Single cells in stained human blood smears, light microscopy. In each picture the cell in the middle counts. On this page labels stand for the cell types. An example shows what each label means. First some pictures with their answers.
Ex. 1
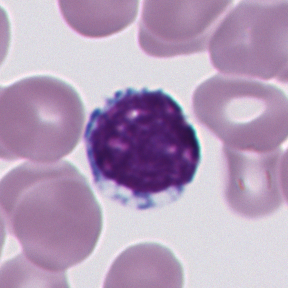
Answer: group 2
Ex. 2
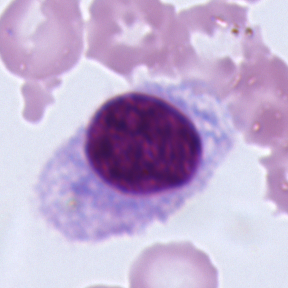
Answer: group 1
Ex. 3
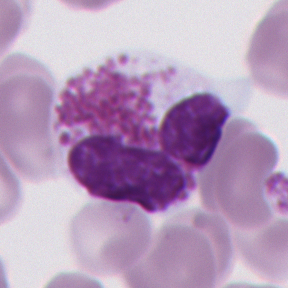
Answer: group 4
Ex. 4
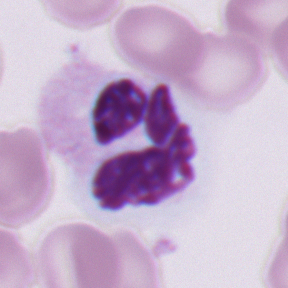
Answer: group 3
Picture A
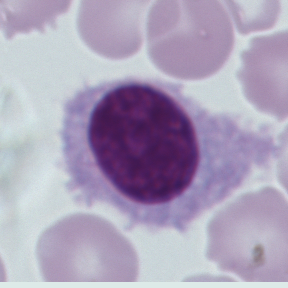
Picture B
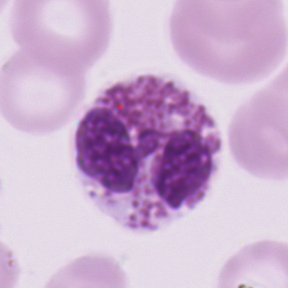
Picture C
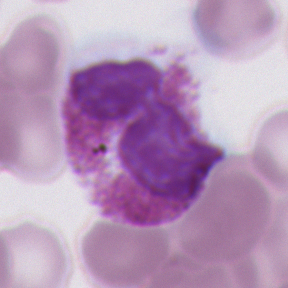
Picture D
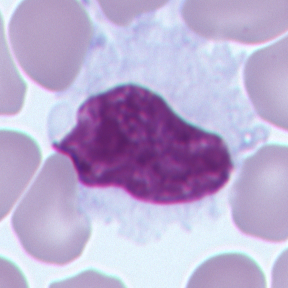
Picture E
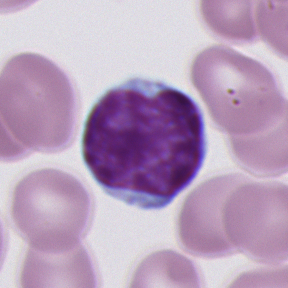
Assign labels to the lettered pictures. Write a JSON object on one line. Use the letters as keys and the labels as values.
{"A": "group 1", "B": "group 4", "C": "group 4", "D": "group 1", "E": "group 2"}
